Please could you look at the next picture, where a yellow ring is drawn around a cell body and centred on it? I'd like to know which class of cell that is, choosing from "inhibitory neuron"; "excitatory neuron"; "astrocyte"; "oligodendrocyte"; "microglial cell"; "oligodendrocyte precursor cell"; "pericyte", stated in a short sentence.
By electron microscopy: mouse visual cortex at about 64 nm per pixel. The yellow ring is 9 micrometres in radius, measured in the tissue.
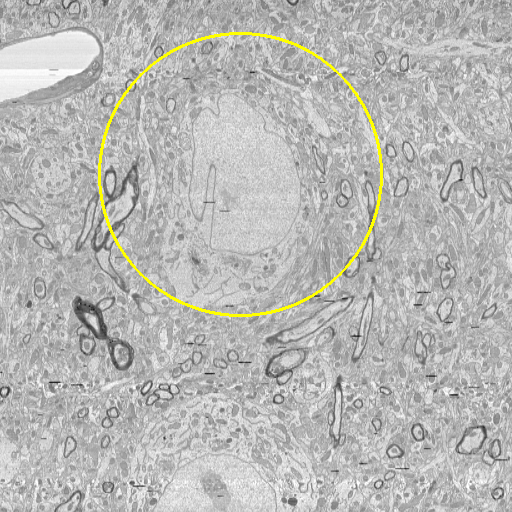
The ring's centre lies on an excitatory neuron.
